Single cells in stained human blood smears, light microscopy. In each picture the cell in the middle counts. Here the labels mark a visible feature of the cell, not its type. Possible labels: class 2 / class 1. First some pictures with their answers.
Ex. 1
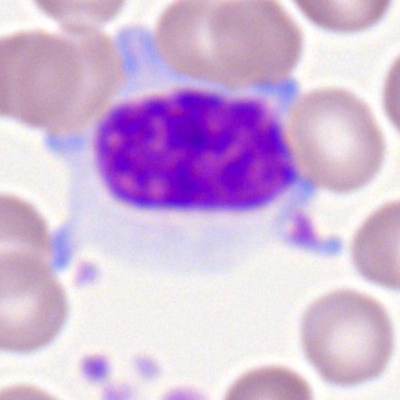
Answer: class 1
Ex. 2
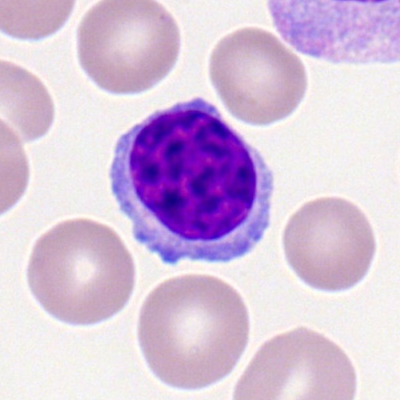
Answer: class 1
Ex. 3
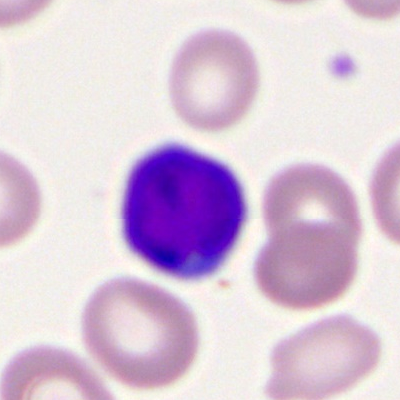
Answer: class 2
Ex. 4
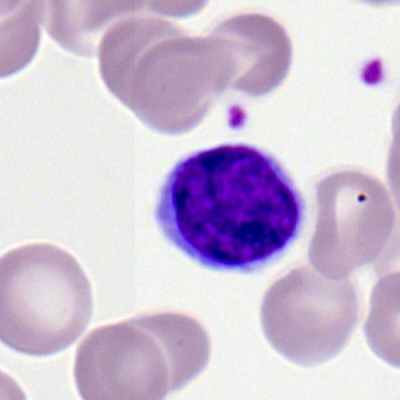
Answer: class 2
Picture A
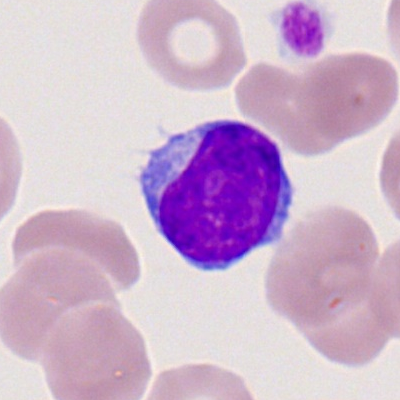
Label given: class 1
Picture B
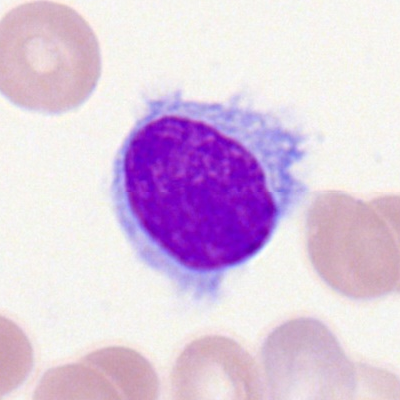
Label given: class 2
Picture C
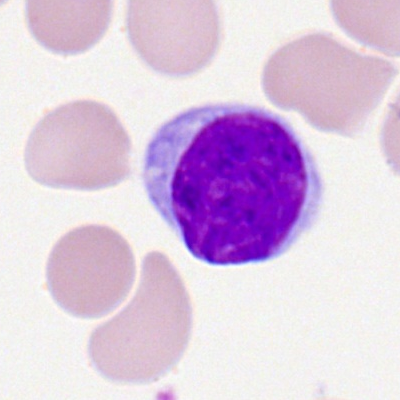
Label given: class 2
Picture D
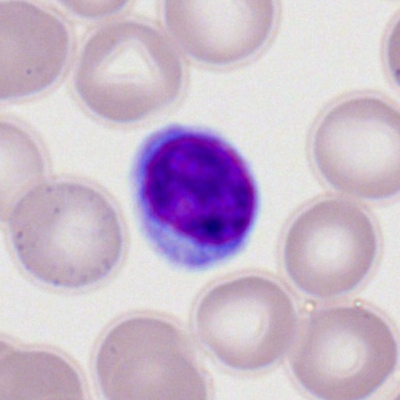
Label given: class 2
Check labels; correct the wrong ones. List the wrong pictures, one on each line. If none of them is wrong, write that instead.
Wrong: B (class 2); correct: class 1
